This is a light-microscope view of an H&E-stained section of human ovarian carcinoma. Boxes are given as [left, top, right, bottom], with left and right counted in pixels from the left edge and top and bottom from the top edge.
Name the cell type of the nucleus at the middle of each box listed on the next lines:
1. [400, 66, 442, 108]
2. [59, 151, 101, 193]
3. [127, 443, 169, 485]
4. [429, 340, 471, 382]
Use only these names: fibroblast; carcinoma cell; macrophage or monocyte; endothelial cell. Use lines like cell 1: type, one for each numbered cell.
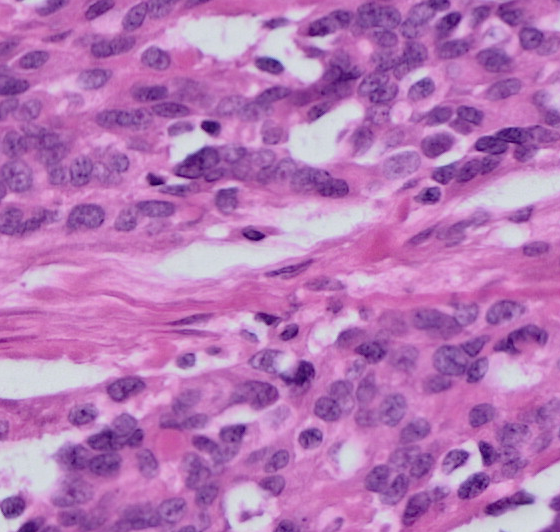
cell 1: macrophage or monocyte
cell 2: carcinoma cell
cell 3: carcinoma cell
cell 4: carcinoma cell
